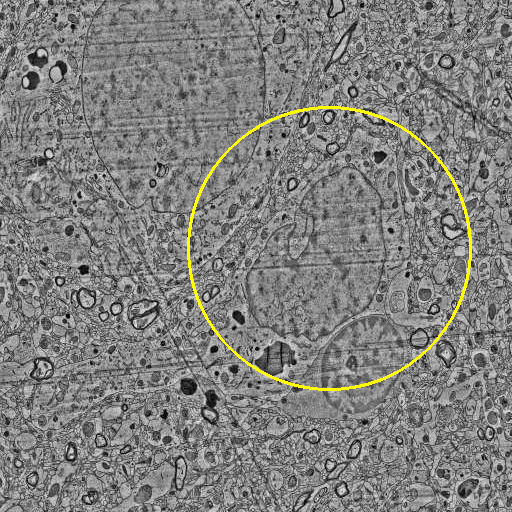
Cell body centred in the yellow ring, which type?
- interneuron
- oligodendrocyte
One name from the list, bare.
interneuron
